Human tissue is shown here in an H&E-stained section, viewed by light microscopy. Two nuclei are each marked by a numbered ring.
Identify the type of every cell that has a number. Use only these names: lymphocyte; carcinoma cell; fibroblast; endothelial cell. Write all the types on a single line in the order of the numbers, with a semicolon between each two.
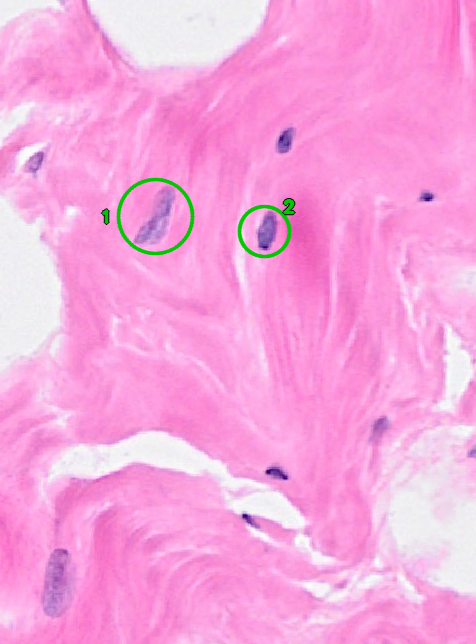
fibroblast; lymphocyte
